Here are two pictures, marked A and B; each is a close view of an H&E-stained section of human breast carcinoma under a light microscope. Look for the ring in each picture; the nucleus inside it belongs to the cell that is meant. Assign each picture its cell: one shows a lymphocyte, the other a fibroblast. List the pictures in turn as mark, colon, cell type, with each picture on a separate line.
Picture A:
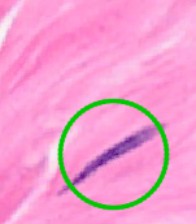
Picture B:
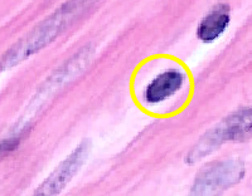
A: fibroblast
B: lymphocyte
